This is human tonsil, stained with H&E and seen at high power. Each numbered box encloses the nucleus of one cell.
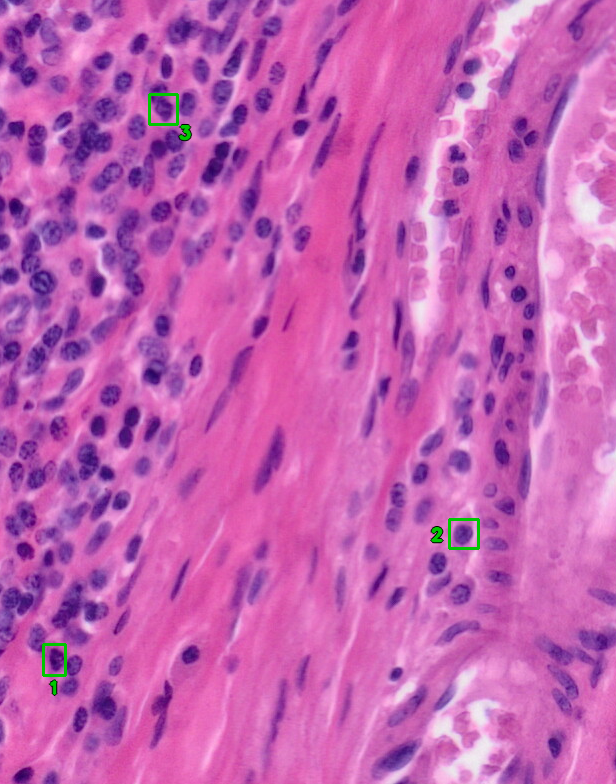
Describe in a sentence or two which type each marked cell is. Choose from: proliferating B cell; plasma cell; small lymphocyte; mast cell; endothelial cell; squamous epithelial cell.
Cell 1 is a plasma cell, cell 2 is a mast cell and cell 3 is a plasma cell.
